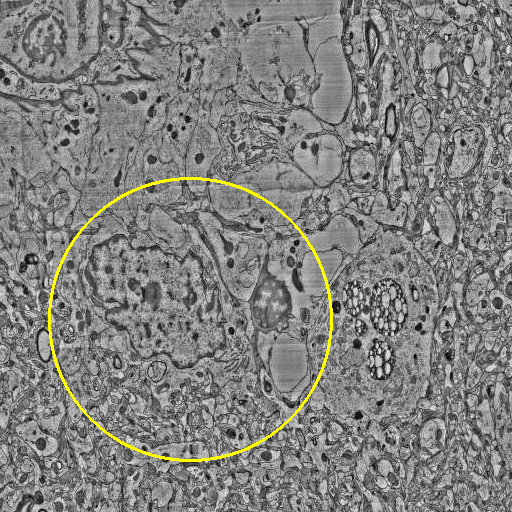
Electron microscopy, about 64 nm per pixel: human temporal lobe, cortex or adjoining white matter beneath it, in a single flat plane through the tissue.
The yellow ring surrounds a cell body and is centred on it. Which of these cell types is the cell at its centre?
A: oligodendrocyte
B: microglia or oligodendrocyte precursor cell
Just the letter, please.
B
